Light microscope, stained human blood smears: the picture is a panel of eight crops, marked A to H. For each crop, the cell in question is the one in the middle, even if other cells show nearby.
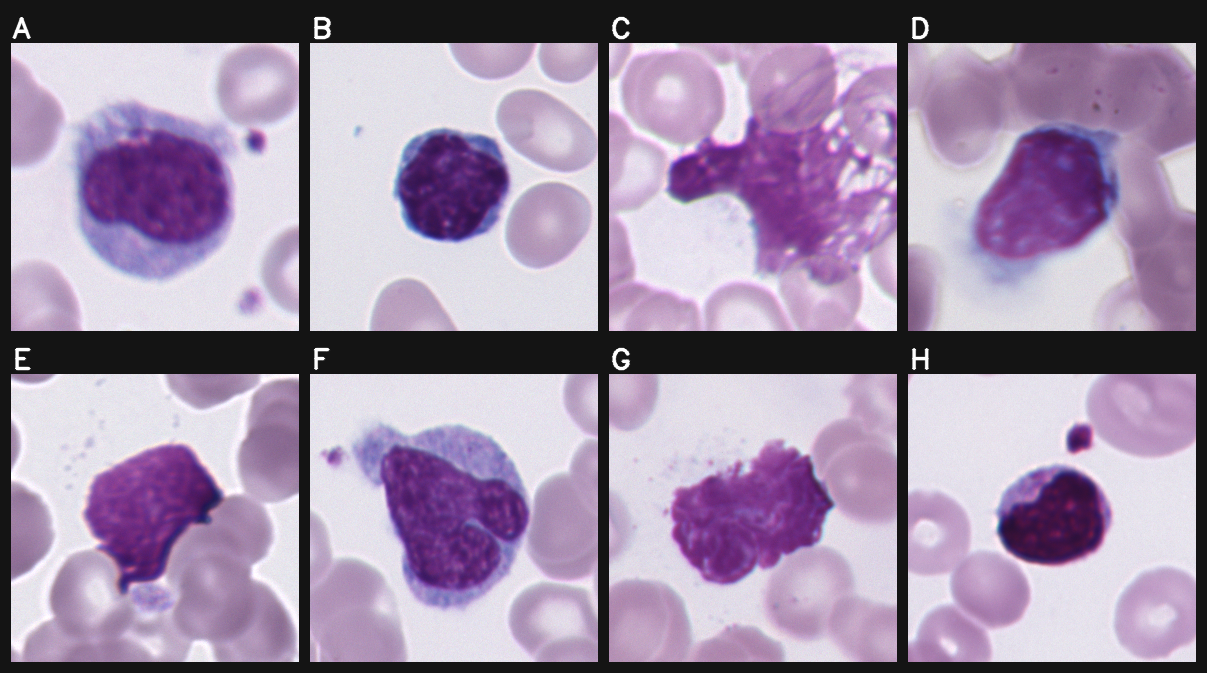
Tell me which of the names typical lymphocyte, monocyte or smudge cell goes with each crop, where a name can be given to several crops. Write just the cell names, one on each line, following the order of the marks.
monocyte
typical lymphocyte
smudge cell
typical lymphocyte
smudge cell
monocyte
smudge cell
typical lymphocyte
